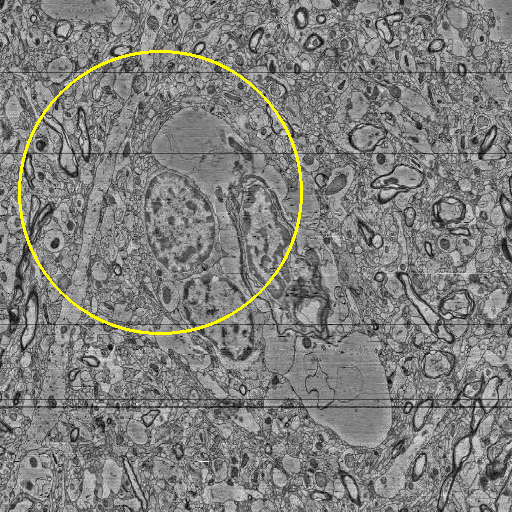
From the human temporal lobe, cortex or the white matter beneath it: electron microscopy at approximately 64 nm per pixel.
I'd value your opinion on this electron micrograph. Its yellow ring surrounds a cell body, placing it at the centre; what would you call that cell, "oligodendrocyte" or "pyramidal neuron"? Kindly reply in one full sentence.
It is an oligodendrocyte that sits centred within the yellow ring in this micrograph.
